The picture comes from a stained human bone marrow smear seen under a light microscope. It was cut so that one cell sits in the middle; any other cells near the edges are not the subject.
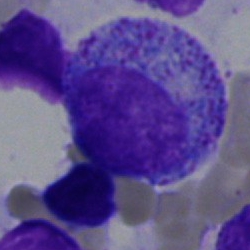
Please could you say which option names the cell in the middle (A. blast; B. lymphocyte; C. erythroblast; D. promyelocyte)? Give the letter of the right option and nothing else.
D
